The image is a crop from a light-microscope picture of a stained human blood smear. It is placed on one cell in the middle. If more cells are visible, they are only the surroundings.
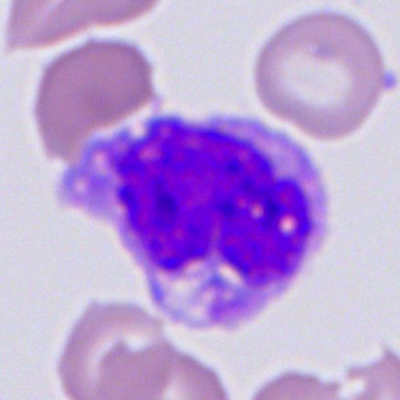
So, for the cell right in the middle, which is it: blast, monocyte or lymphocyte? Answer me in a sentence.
Regarding the central cell, it is a monocyte.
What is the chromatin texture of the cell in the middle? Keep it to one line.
Answer: the chromatin in this nucleus is coarsely clumped.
